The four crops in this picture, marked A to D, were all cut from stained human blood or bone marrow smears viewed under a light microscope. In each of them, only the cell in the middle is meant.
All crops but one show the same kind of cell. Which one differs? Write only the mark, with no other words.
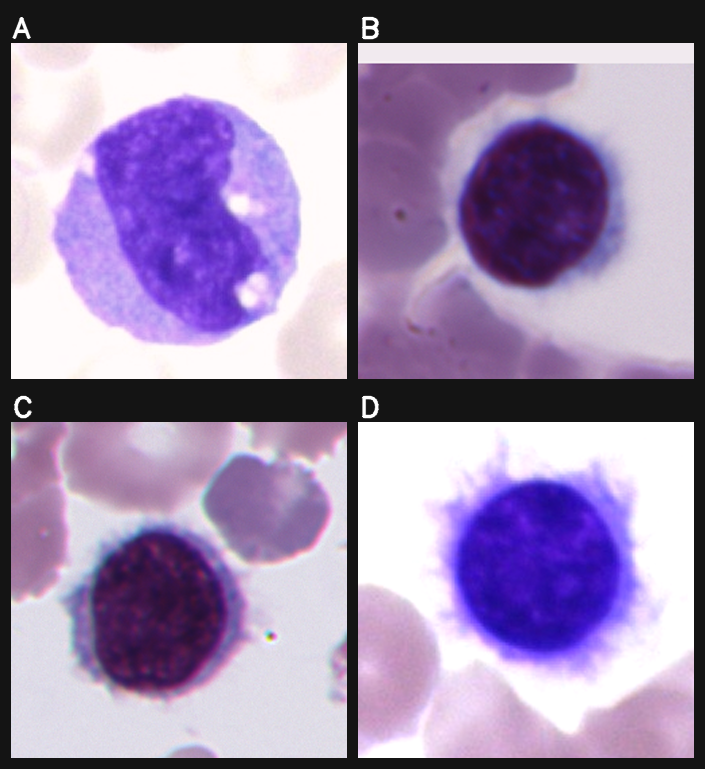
A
